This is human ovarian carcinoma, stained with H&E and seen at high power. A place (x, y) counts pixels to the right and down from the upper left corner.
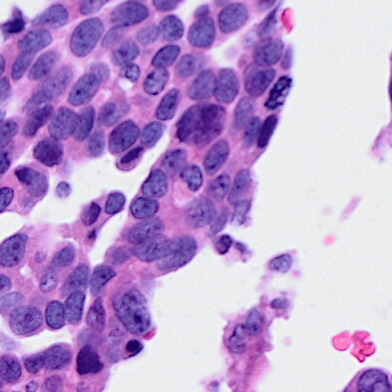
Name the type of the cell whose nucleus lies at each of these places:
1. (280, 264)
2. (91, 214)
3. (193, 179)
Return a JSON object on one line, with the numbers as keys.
{"1": "macrophage or monocyte", "2": "carcinoma cell", "3": "macrophage or monocyte"}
